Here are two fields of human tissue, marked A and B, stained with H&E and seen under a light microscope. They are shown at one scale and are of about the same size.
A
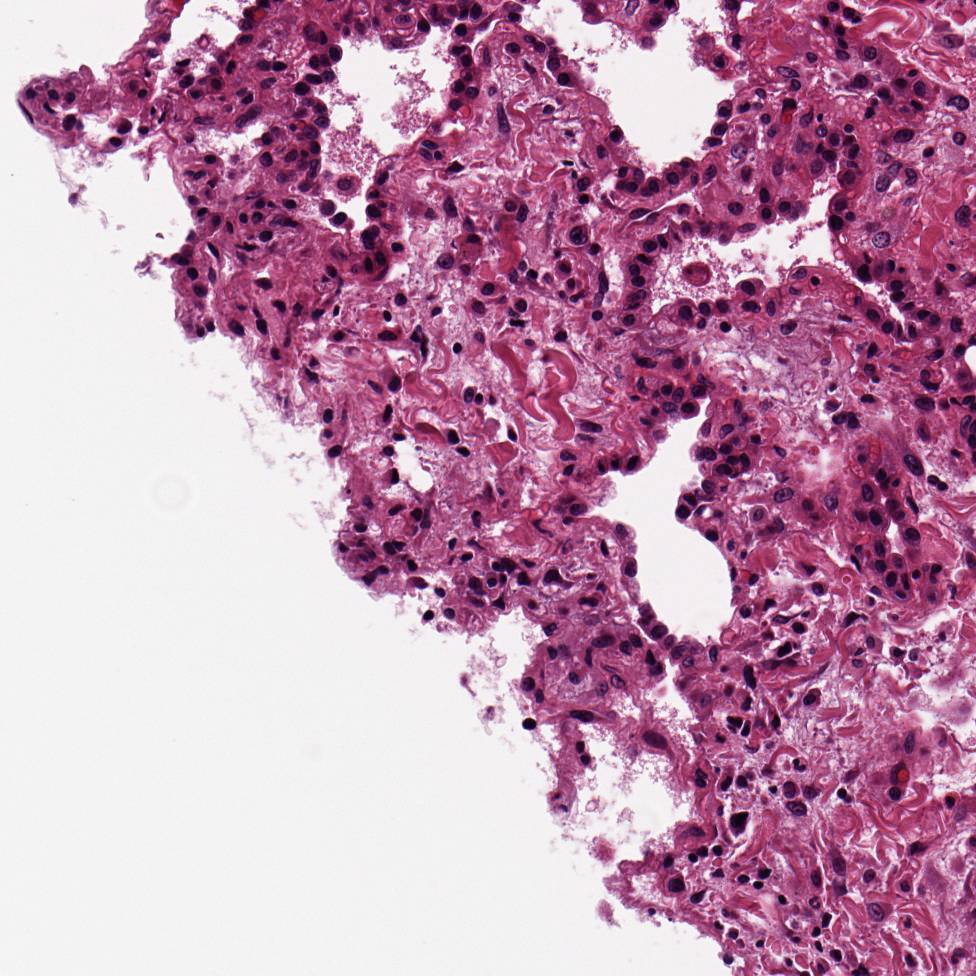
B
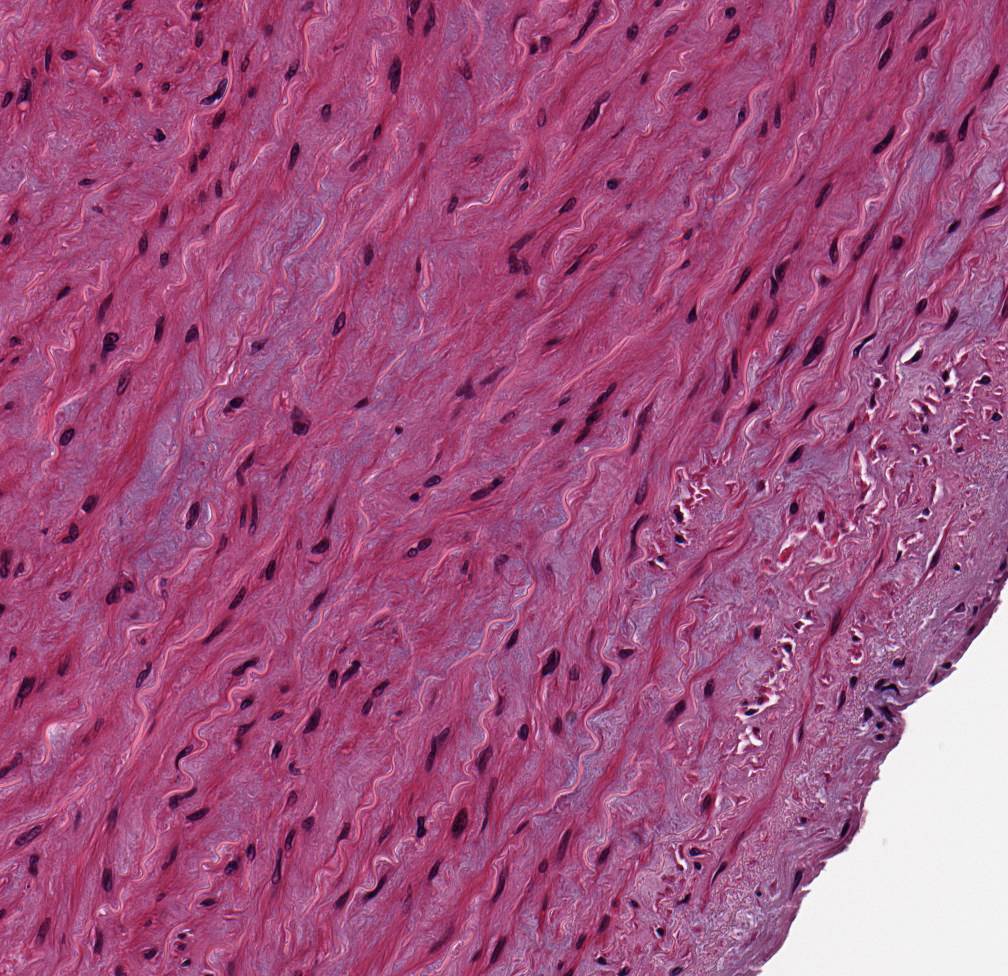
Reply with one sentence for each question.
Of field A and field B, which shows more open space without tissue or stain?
It is field A in which white space covers the larger part.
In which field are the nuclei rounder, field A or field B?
On the whole the nuclei of field A are rounder than those of field B.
